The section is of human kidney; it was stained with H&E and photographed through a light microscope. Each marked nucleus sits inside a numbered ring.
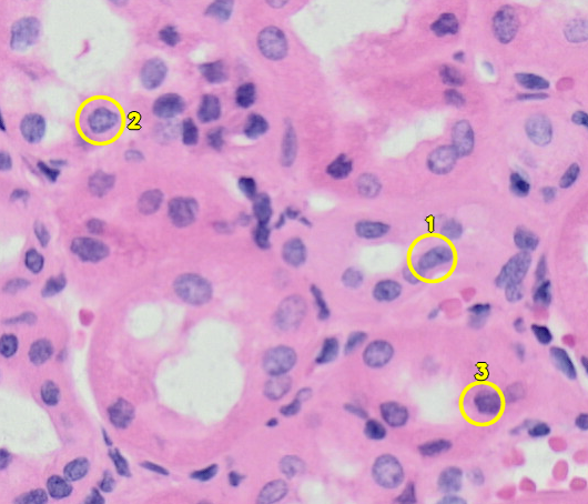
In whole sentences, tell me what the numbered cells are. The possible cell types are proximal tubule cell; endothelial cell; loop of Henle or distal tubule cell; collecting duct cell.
Cell 1 is a collecting duct cell, cell 2 is a collecting duct cell and cell 3 is a proximal tubule cell.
